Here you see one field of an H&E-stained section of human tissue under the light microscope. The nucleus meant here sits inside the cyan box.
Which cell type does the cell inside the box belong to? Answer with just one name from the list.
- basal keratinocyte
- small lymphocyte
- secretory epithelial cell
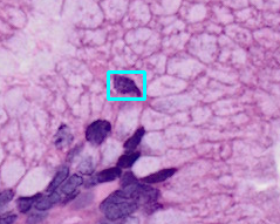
secretory epithelial cell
